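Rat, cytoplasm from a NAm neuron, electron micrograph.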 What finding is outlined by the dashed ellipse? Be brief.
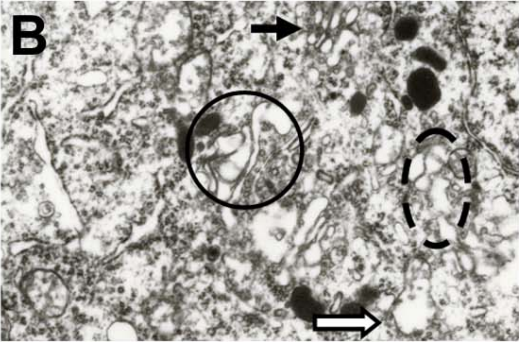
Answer: expanded endoplasmic reticulum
